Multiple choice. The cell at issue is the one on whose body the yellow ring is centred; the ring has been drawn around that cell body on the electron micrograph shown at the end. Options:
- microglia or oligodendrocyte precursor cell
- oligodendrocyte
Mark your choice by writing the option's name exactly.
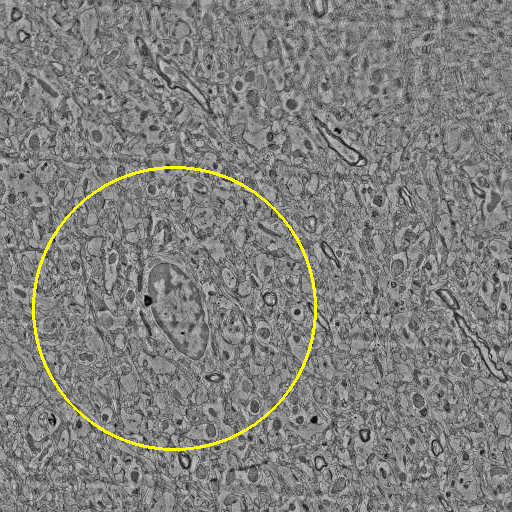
microglia or oligodendrocyte precursor cell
